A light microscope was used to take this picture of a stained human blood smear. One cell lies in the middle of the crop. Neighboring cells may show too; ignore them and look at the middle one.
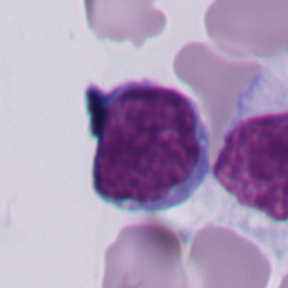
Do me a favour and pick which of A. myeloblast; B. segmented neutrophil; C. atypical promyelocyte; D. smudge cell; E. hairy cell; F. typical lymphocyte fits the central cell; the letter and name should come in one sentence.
Of the choices given, option F is right, as the central cell is a typical lymphocyte.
